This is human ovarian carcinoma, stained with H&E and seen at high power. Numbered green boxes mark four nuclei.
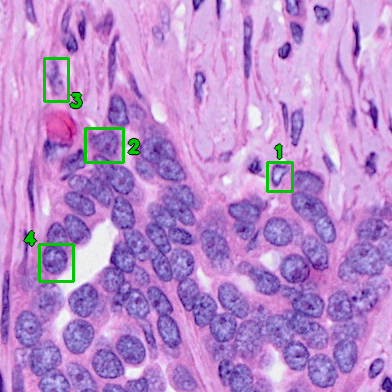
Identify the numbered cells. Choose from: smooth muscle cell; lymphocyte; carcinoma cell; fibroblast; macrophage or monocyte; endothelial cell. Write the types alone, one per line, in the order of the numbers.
fibroblast
carcinoma cell
fibroblast
carcinoma cell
